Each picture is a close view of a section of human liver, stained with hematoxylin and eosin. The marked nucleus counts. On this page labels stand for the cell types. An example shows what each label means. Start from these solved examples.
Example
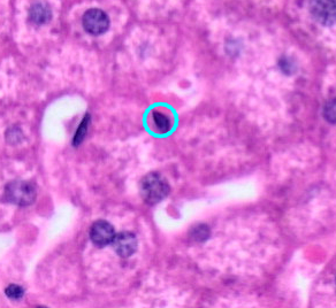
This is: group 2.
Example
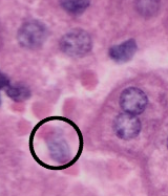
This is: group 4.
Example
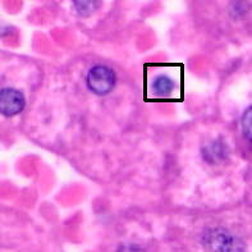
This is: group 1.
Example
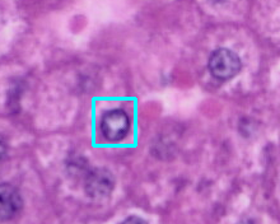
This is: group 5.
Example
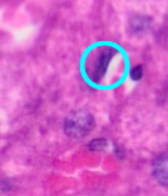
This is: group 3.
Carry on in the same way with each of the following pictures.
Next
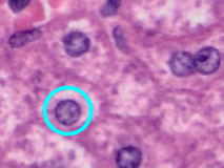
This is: group 5.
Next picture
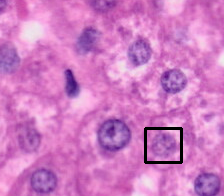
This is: group 5.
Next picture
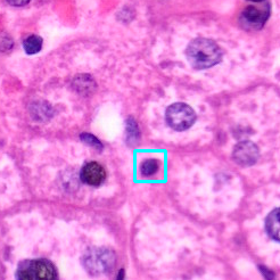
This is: group 1.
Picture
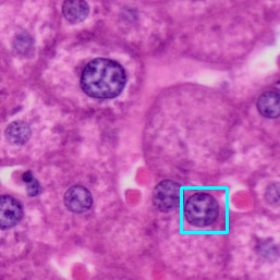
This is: group 5.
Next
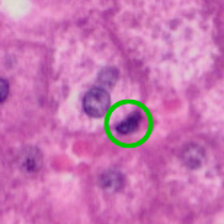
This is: group 2.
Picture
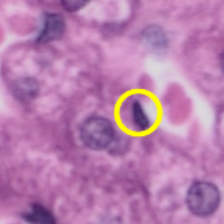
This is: group 2.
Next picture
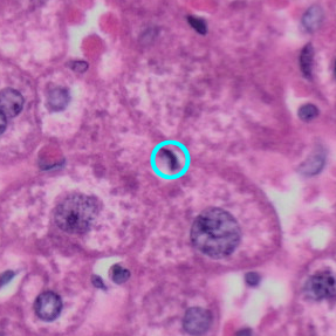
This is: group 3.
